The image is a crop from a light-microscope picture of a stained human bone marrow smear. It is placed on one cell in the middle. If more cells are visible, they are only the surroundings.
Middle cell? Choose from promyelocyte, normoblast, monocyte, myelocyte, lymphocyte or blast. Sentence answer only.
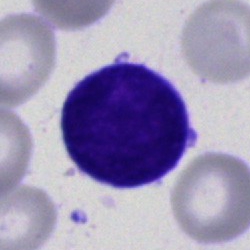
The cell centred in this crop is categorized as a blast.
